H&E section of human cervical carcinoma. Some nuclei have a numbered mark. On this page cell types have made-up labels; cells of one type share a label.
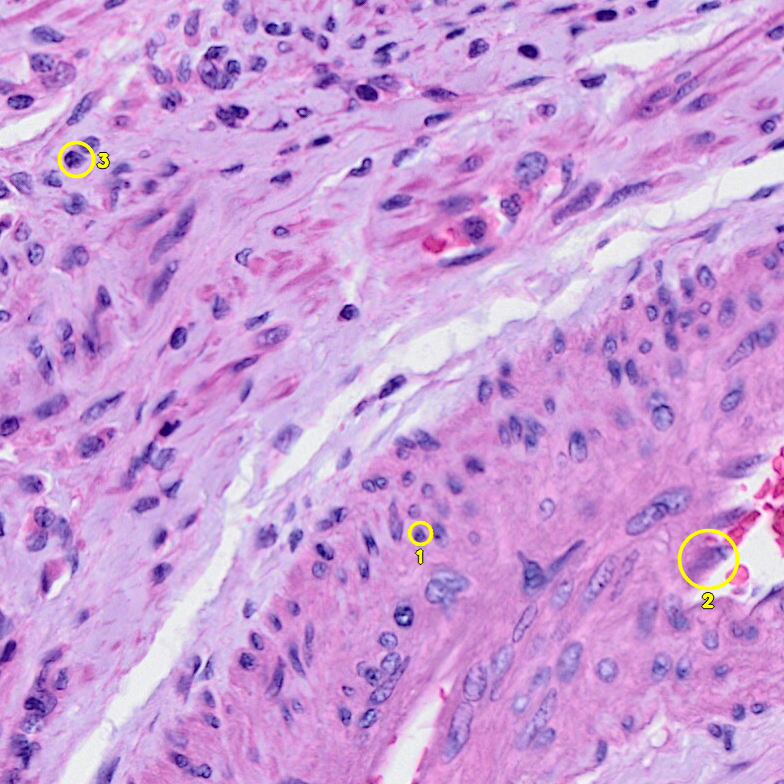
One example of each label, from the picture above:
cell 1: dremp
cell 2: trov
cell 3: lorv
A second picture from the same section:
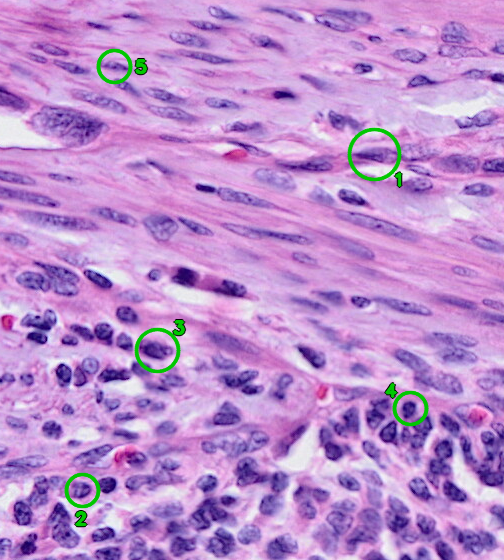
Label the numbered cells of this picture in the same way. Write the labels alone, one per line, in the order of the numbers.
trov
lorv
lorv
lorv
dremp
